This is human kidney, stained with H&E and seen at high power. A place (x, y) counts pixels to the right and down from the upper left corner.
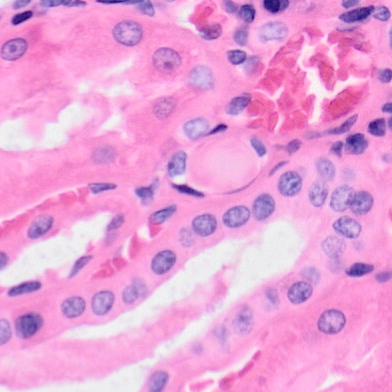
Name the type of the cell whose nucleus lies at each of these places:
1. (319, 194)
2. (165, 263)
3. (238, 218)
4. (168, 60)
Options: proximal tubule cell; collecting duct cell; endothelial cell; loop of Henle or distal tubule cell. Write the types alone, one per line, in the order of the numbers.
collecting duct cell
collecting duct cell
collecting duct cell
proximal tubule cell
